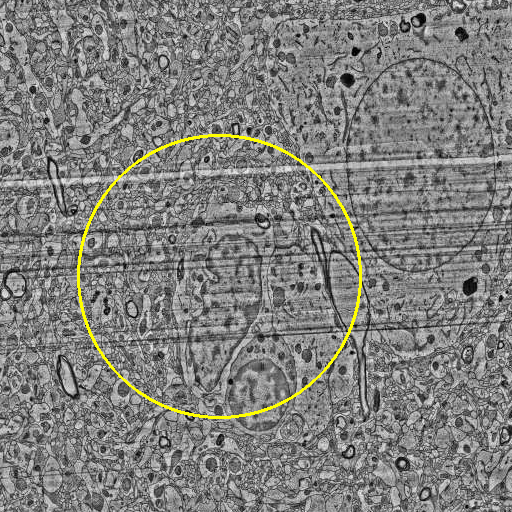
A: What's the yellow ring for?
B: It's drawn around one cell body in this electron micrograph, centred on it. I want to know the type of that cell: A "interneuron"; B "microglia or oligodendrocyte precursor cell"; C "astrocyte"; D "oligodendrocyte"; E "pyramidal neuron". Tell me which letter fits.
B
